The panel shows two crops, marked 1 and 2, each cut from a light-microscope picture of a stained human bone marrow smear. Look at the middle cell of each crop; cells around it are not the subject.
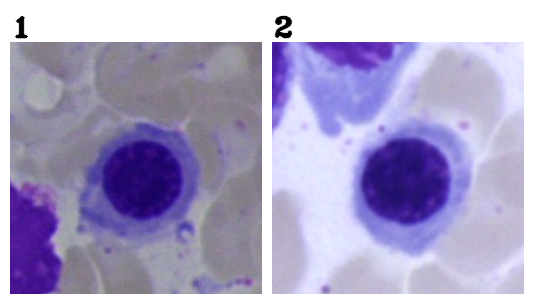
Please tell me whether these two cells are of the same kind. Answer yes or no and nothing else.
yes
